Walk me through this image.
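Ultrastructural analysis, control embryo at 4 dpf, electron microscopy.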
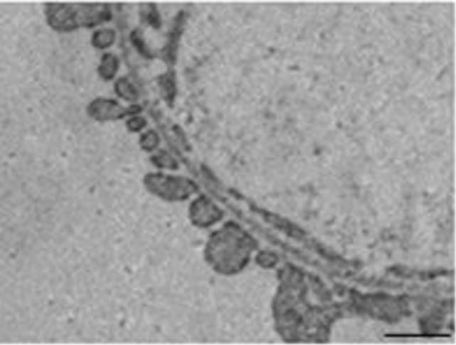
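This is the filtration barrier of a glomerular capillary seen at high magnification, with the podocyte foot processes lined up along the basement membrane. The foot processes appear as a regular row of small, rounded, dark-grey profiles, each separated from its neighbours by narrow gaps. They sit on a thin, pale basement membrane that runs as a curved band across the field. On the other side of the membrane lies the capillary lumen, filled with finely granular pale material.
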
